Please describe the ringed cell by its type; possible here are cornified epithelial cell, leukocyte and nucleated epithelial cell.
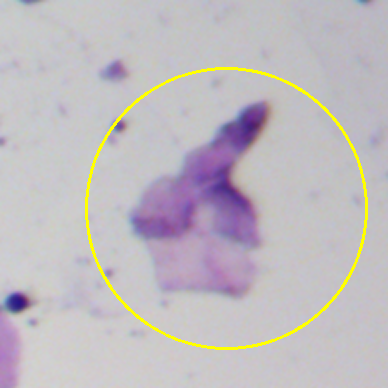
The yellow ring marks a cornified epithelial cell.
